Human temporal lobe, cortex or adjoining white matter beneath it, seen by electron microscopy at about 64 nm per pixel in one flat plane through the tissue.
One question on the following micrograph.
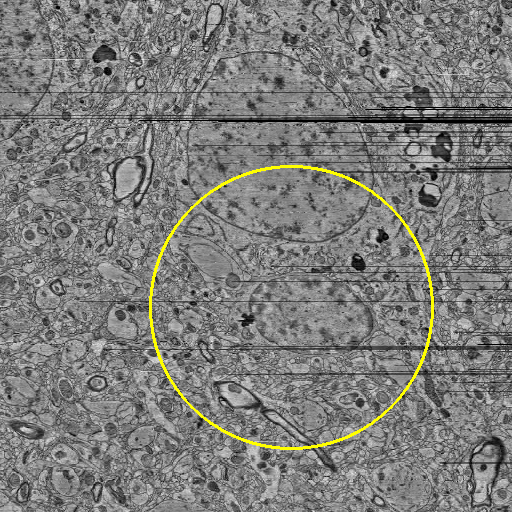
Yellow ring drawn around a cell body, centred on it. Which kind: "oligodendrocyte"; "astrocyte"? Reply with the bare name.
oligodendrocyte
